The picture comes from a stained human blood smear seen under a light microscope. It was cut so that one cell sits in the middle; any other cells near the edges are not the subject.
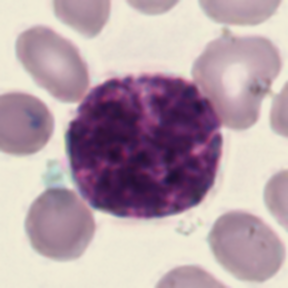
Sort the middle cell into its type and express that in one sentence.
At the middle of the frame sits a basophil.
